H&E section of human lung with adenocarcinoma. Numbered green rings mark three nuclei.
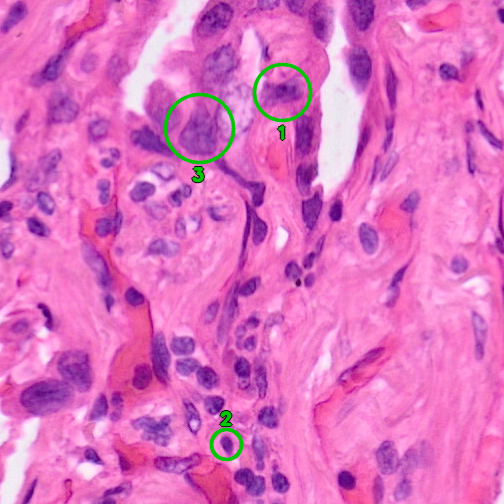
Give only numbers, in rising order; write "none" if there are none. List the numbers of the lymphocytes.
2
